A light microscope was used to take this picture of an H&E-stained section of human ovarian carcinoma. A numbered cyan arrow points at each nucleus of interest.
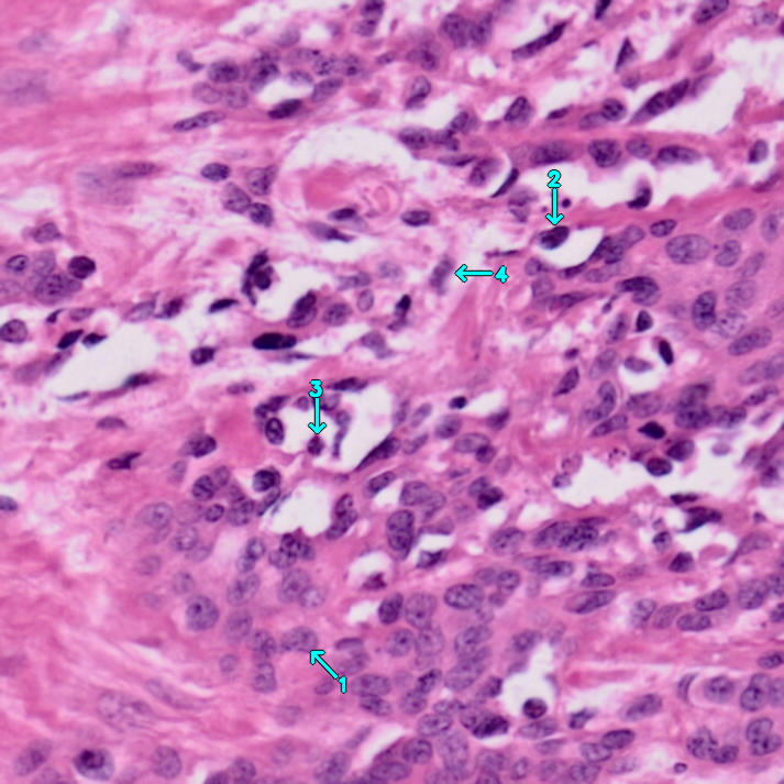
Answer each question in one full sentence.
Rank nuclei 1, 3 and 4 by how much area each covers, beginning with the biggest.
By area, largest first, they run 1, 4, 3.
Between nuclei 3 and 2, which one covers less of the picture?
Nucleus 3 is the smaller one; nucleus 2 covers about 2.5 times its area.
